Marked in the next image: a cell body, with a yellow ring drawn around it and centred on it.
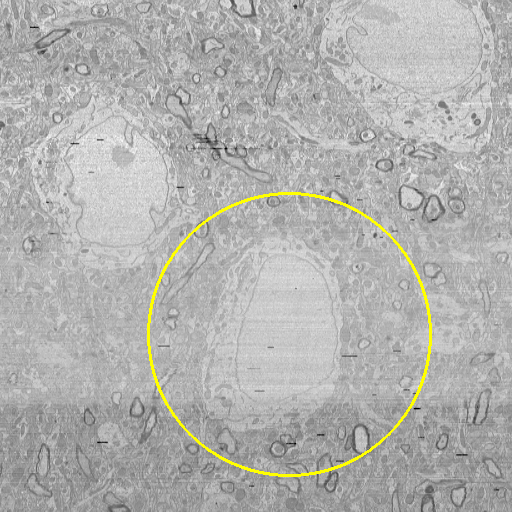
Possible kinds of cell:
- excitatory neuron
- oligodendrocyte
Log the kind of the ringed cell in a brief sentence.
The ringed cell body is that of an excitatory neuron.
